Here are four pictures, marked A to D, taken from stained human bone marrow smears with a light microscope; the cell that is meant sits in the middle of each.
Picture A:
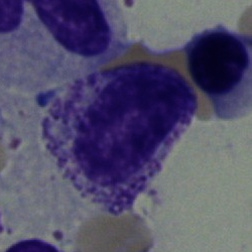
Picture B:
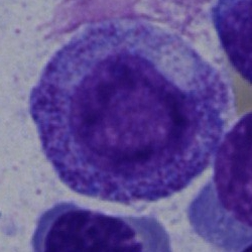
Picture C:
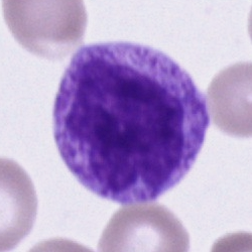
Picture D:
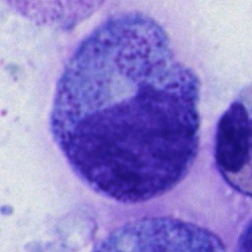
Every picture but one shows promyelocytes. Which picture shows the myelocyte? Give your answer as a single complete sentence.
Picture A is the one that shows the myelocyte.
